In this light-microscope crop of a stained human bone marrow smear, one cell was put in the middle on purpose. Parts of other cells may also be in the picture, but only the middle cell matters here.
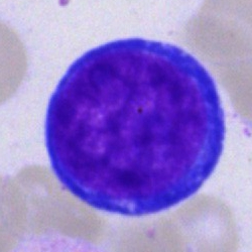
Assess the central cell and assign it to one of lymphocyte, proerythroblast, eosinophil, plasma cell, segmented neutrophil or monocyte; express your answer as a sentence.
This crop's central cell is a proerythroblast.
